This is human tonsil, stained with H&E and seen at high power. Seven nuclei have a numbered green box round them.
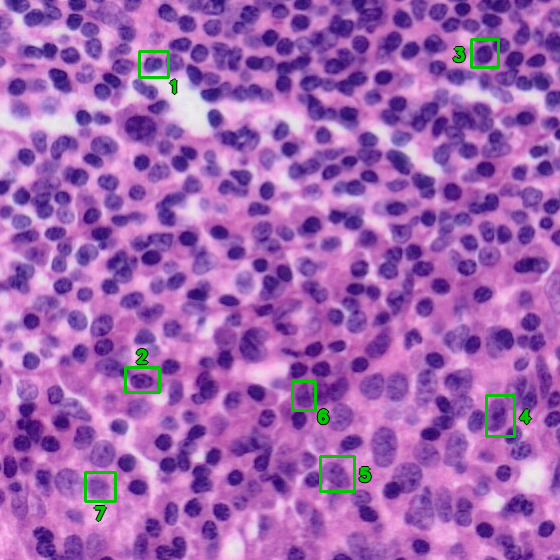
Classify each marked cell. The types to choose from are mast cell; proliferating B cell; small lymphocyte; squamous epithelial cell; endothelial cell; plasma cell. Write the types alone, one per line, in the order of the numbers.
small lymphocyte
plasma cell
small lymphocyte
squamous epithelial cell
squamous epithelial cell
squamous epithelial cell
squamous epithelial cell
